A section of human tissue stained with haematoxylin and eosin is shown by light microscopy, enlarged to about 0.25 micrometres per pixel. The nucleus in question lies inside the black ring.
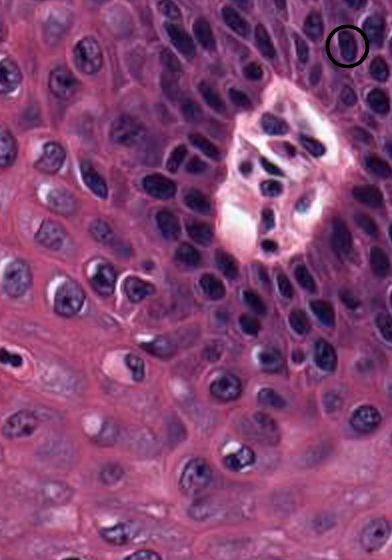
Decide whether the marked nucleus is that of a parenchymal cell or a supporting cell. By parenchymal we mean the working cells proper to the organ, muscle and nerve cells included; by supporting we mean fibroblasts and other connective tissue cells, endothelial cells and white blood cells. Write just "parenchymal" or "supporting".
parenchymal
